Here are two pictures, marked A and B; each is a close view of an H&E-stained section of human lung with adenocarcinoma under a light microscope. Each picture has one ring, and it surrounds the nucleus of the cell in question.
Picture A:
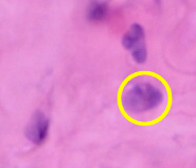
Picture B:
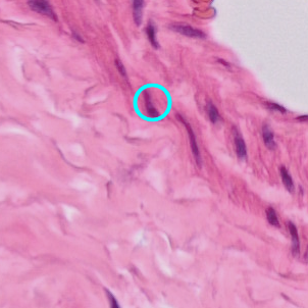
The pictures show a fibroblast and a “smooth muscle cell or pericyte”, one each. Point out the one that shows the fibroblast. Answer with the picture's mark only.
A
